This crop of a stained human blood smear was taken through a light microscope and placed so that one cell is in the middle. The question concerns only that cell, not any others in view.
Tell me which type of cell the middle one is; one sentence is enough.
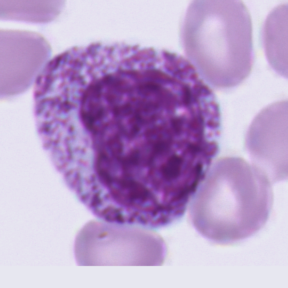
The middle of this crop holds a myelocyte.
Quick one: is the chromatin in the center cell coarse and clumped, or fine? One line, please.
Take a look at the chromatin, which is coarsely clumped.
